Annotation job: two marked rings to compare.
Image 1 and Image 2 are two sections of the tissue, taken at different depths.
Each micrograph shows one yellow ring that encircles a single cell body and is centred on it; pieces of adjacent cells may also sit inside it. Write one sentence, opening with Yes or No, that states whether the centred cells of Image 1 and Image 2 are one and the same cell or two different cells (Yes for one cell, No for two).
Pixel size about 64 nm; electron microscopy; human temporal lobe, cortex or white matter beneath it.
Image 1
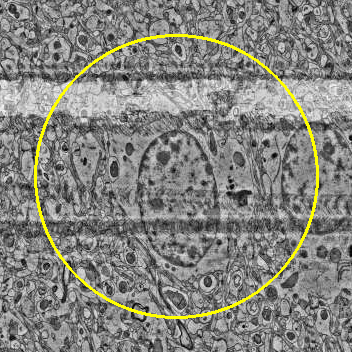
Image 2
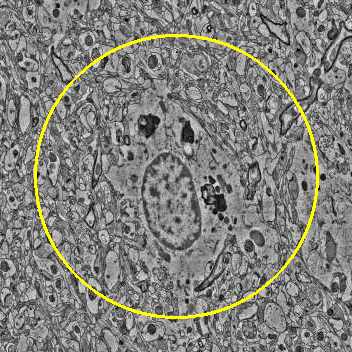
Yes, a single cell is marked twice, once by each yellow ring.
